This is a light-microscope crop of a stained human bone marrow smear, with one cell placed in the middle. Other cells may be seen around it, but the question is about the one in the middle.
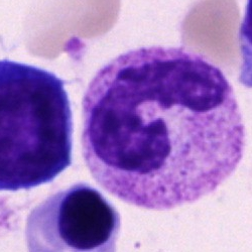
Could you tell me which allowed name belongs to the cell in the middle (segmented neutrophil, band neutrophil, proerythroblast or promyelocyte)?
band neutrophil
